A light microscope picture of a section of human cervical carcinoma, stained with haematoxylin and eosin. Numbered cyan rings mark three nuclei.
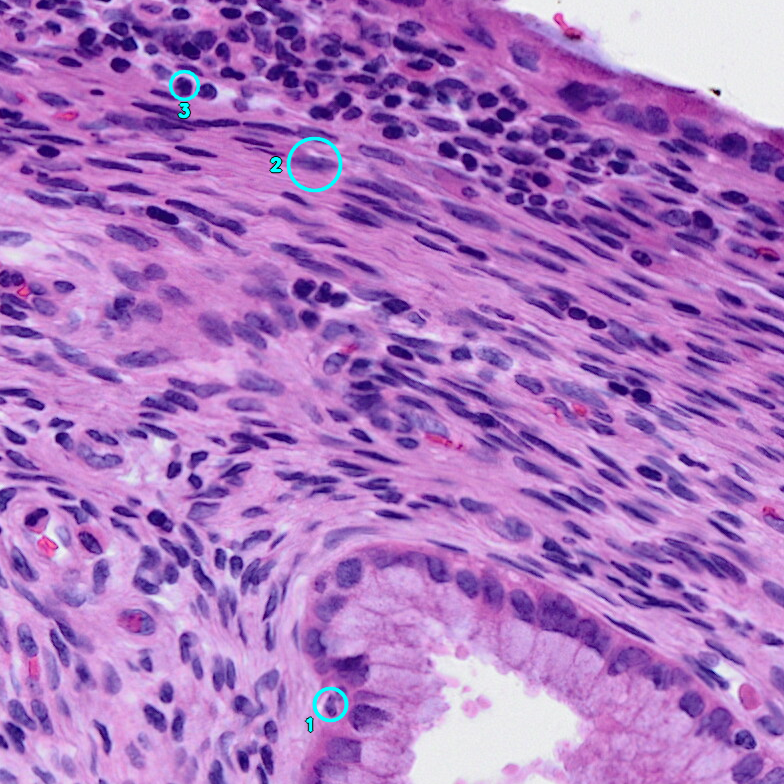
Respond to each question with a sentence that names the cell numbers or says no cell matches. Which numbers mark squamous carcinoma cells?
The numbered cells, every one of them, are not squamous carcinoma cells.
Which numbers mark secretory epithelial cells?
Cell 1 is a secretory epithelial cell, and that holds for no other numbered cell.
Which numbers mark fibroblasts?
Only nucleus 2 belongs to a fibroblast; the other numbered nuclei do not.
